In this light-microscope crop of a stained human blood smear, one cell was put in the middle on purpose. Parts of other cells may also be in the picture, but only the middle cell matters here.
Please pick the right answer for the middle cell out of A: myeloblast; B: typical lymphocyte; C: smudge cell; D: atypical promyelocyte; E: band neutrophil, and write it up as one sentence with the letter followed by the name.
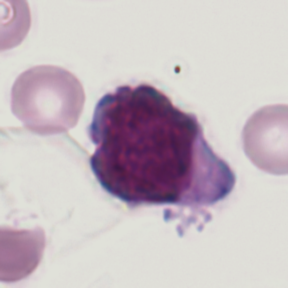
Identification: the cell in the middle is an atypical promyelocyte, matching option D.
